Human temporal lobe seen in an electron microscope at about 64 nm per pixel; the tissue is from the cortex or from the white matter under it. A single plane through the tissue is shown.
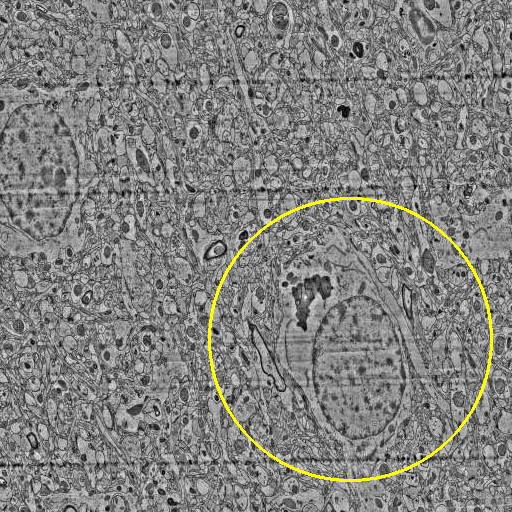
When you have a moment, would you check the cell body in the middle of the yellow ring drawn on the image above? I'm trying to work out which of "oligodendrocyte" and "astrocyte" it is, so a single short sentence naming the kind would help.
This cell body belongs to an astrocyte.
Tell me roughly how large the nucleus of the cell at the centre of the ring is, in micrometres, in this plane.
In this plane, the nucleus of the cell at the centre of the ring measures about 9 by 6 micrometres.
